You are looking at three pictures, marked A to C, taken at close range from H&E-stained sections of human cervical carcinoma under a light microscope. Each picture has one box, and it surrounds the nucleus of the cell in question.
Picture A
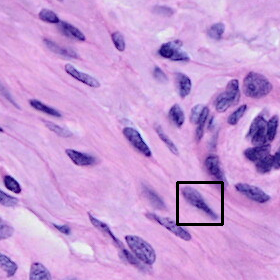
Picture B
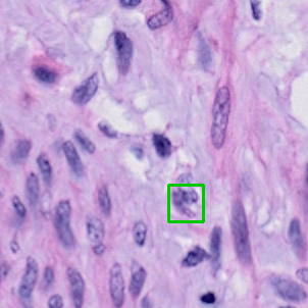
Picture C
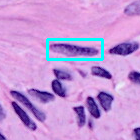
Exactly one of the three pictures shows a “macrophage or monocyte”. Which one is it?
B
